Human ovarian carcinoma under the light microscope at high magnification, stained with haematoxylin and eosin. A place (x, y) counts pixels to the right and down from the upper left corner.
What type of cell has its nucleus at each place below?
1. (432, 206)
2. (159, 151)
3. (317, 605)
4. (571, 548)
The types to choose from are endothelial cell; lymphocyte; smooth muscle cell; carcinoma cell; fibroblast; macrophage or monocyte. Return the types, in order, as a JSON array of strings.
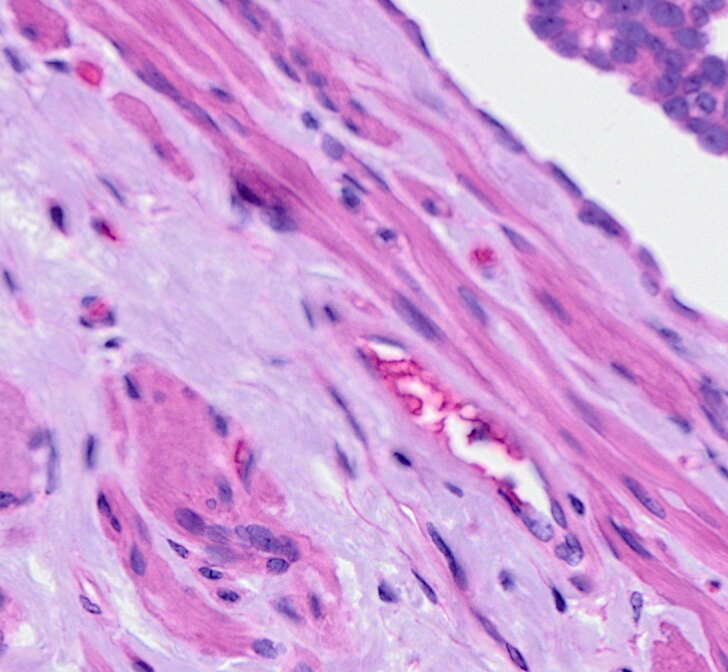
["smooth muscle cell", "smooth muscle cell", "smooth muscle cell", "endothelial cell"]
